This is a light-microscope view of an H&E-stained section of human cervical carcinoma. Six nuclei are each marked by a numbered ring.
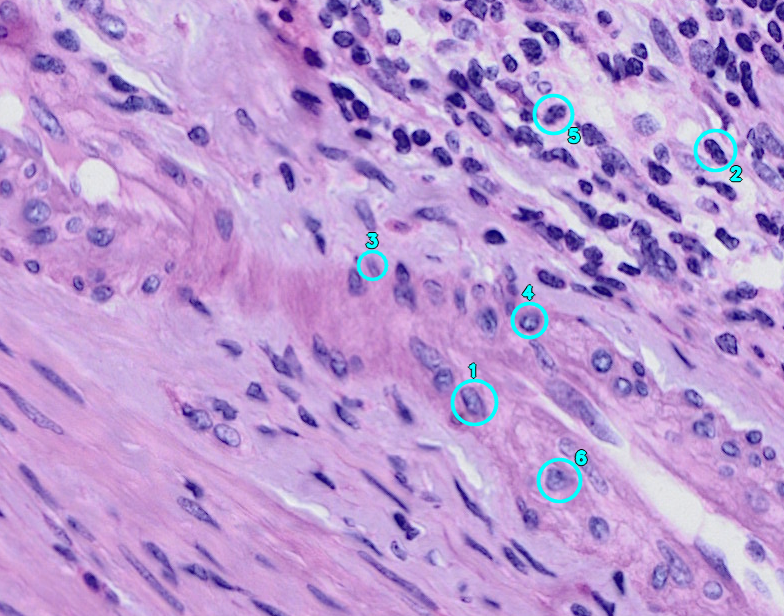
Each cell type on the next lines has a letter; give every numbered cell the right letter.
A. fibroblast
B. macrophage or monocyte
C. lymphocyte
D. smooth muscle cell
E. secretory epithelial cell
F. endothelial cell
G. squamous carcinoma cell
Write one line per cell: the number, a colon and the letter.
1: D
2: C
3: D
4: D
5: C
6: D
